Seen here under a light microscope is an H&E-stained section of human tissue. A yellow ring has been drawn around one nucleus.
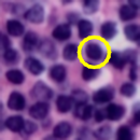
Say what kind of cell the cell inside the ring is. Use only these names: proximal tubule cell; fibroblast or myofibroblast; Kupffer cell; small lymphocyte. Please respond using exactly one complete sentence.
Assigned to a cell type, the cell inside the ring is a small lymphocyte.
